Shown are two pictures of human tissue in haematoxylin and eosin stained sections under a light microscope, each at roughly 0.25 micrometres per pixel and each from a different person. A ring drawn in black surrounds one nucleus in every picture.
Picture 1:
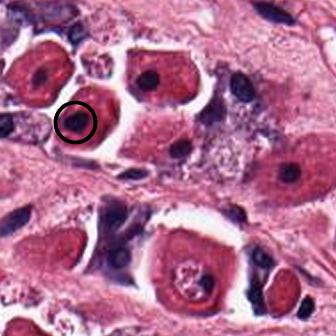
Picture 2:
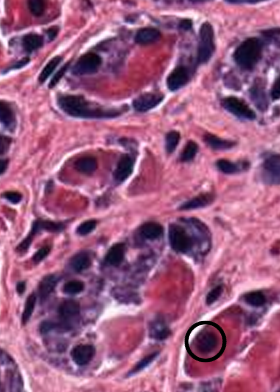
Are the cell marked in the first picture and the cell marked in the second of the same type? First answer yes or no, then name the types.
Yes, both are parietal cells.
